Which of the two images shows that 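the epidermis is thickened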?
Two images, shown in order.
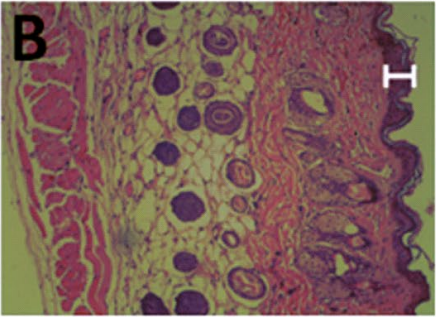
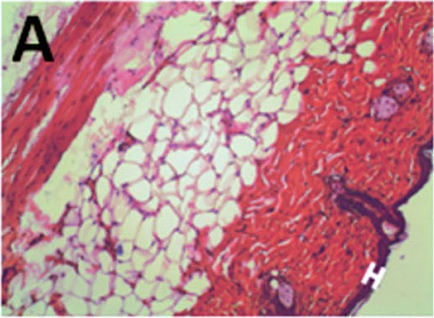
the first image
